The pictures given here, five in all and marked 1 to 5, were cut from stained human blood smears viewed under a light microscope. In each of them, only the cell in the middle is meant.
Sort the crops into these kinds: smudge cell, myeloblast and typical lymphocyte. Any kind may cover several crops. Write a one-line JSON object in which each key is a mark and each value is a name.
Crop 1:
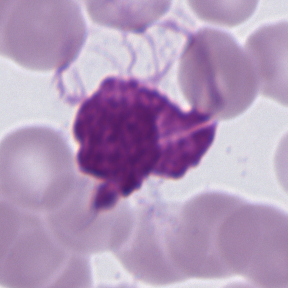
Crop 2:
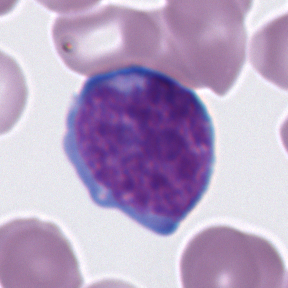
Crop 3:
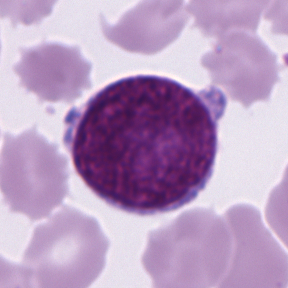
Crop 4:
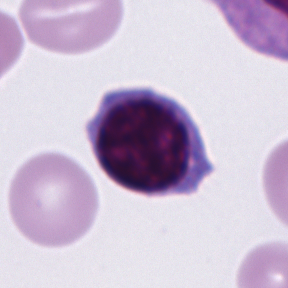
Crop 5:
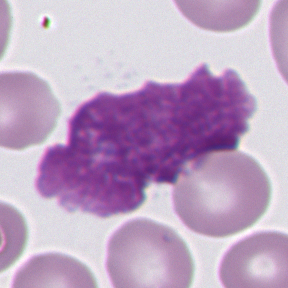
{"1": "smudge cell", "2": "myeloblast", "3": "myeloblast", "4": "typical lymphocyte", "5": "smudge cell"}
